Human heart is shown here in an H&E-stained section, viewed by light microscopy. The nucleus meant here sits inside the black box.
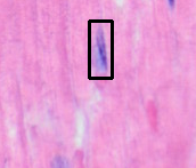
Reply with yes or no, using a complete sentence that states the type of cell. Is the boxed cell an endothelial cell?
Yes, it is as an endothelial cell that the boxed cell is classified.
